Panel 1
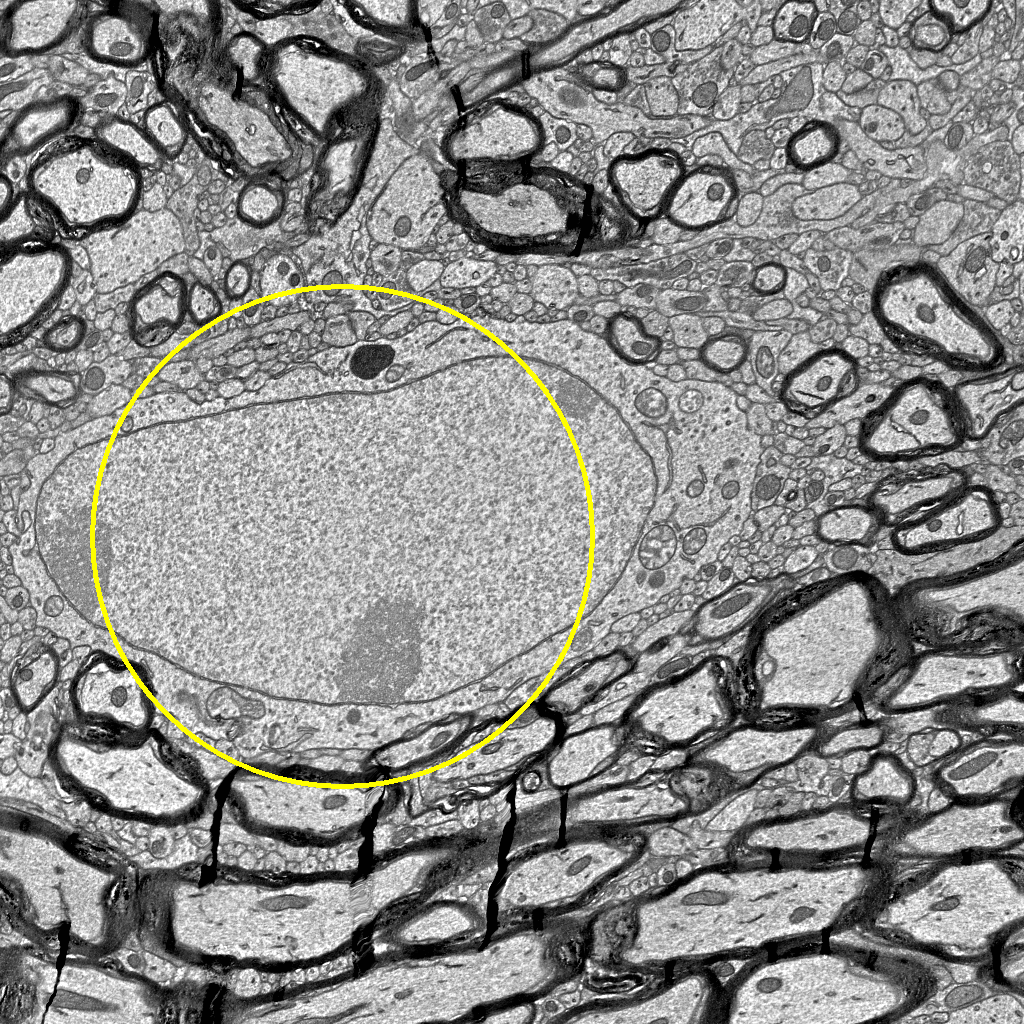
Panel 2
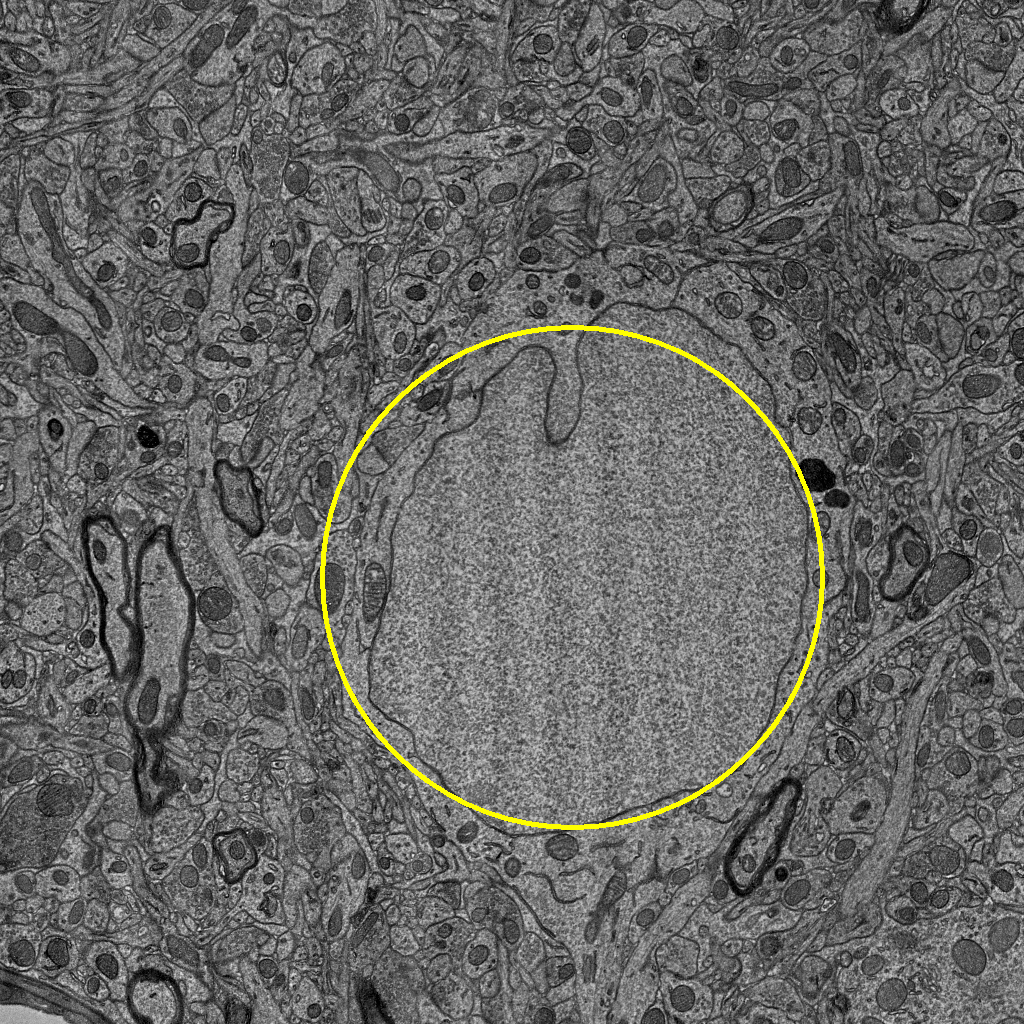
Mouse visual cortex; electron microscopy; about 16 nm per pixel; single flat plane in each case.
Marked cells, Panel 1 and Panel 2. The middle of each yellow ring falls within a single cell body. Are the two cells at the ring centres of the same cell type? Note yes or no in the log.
yes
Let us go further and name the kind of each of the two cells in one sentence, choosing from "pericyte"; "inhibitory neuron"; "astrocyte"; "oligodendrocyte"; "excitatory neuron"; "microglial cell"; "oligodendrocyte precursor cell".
The cell at the ring centre is an excitatory neuron in both pictures.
